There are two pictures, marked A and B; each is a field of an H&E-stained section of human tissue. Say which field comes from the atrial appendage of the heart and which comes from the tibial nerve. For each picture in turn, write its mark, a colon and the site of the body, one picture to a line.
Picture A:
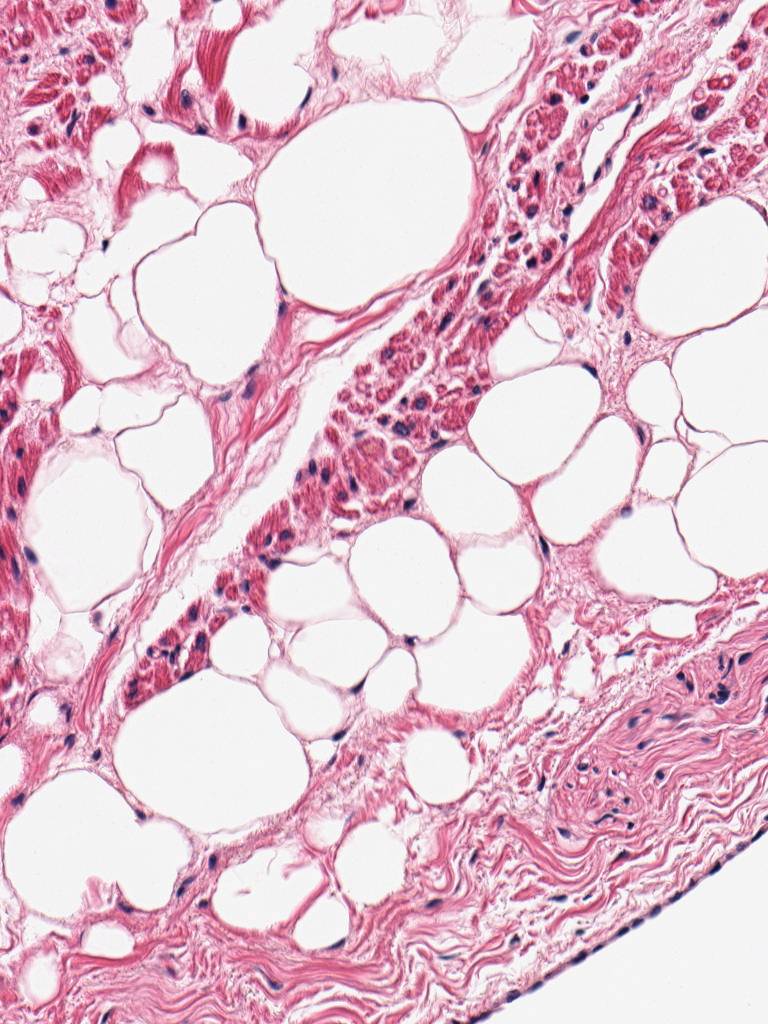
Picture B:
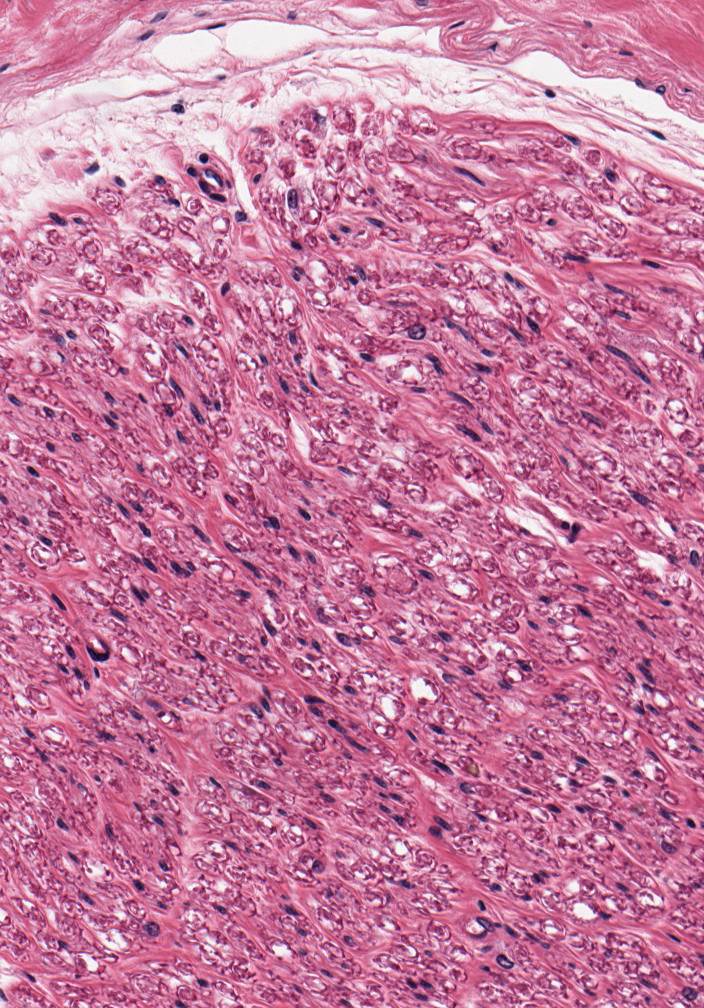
A: atrial appendage of the heart
B: tibial nerve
